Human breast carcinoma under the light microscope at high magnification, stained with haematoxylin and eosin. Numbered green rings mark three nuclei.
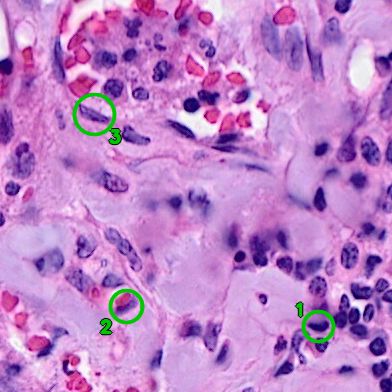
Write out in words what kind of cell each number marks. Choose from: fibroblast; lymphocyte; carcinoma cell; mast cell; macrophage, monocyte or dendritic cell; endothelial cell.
Cell 1 is a lymphocyte, cell 2 is an endothelial cell and cell 3 is an endothelial cell.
